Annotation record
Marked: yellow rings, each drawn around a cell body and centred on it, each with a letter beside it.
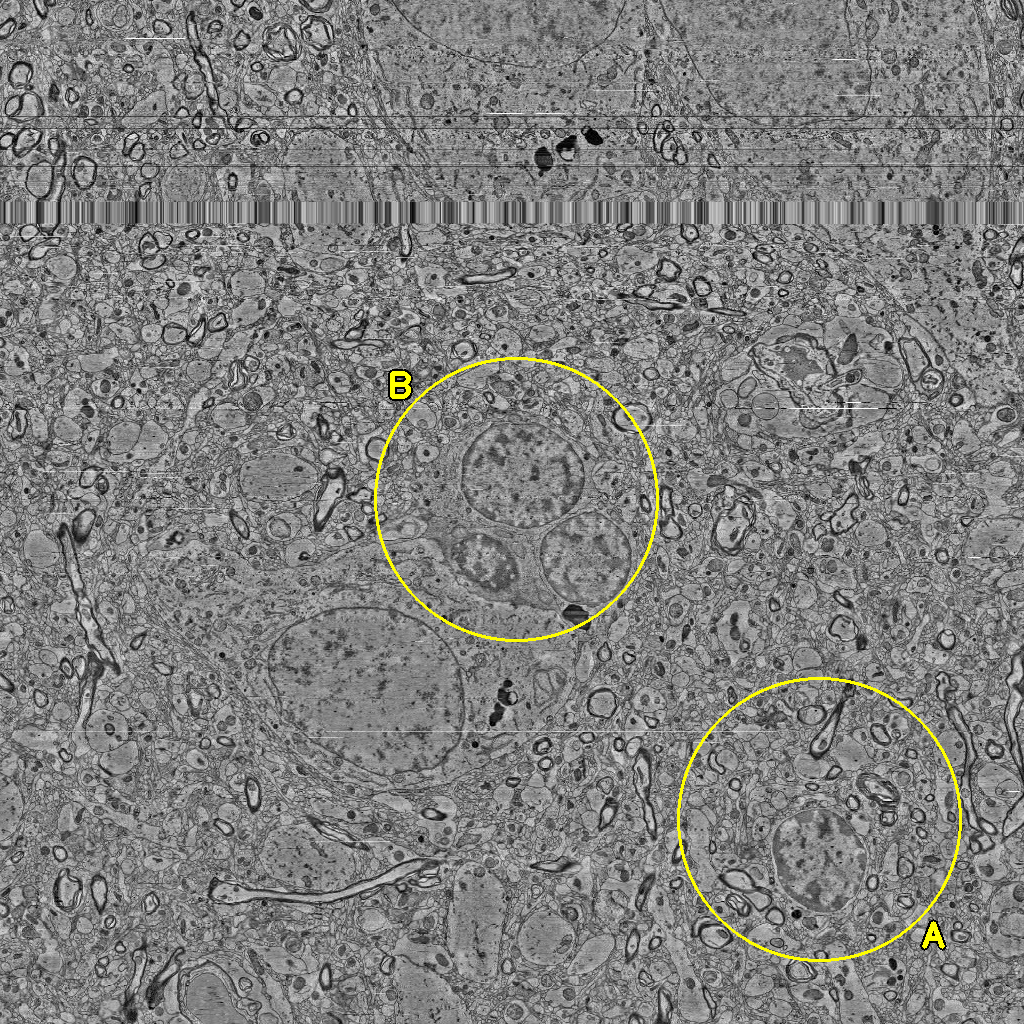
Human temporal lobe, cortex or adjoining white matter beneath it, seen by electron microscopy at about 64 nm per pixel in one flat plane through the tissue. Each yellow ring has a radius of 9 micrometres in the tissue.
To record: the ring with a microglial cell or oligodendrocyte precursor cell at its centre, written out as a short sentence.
The ring centred on it is ring A.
